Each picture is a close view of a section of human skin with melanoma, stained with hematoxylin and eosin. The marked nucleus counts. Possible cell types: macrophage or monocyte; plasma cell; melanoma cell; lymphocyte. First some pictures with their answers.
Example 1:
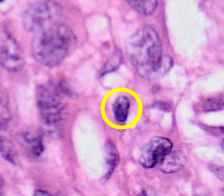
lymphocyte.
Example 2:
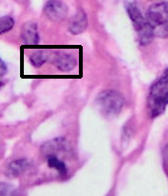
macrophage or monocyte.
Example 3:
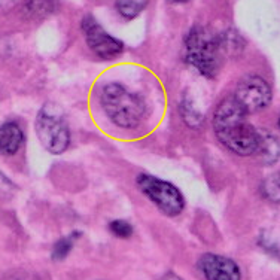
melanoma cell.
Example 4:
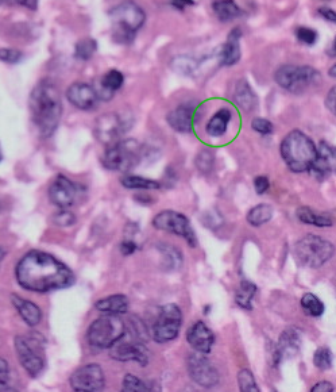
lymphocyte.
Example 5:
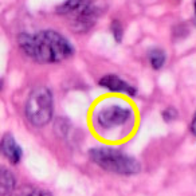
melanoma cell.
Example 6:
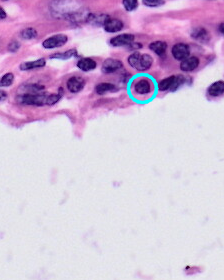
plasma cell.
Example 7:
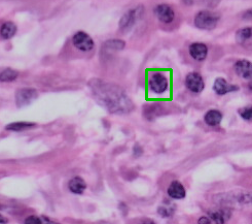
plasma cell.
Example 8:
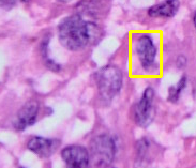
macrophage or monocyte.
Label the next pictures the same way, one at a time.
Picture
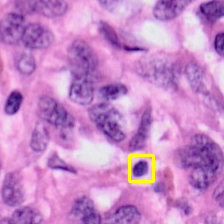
lymphocyte.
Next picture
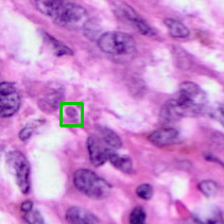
melanoma cell.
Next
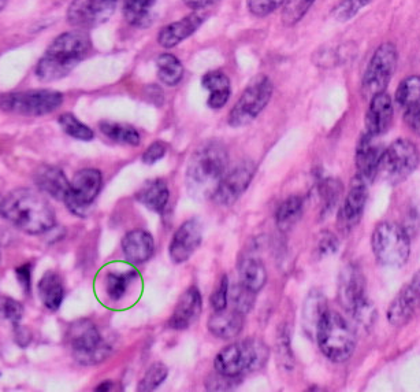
melanoma cell.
